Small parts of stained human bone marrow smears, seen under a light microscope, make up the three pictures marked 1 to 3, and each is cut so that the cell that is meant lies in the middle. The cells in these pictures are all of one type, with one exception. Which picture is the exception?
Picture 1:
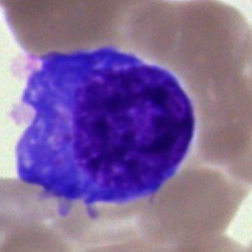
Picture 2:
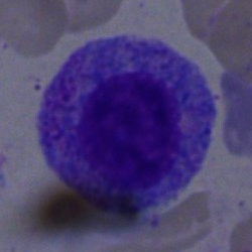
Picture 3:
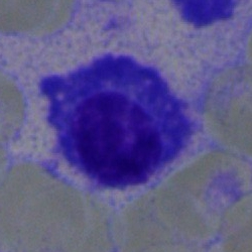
2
